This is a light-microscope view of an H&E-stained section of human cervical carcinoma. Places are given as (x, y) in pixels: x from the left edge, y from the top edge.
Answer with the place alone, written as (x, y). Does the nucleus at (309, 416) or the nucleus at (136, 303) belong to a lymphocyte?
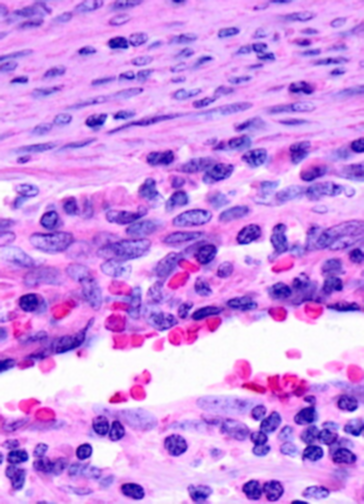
(309, 416)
